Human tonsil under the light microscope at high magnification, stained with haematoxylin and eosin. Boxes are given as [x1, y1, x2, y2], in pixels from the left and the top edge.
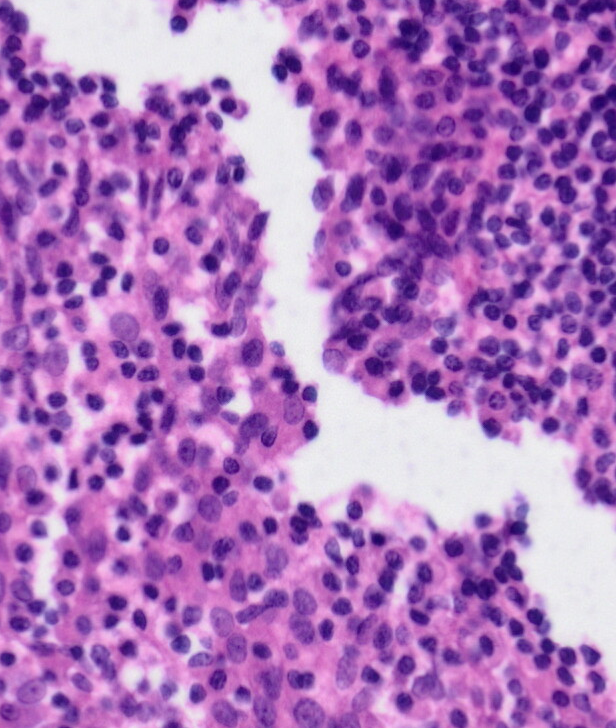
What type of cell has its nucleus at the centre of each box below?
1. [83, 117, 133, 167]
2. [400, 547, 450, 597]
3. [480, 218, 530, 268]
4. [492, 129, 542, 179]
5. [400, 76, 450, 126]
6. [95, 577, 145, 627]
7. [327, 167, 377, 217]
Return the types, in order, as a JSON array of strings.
["plasma cell", "plasma cell", "small lymphocyte", "small lymphocyte", "plasma cell", "plasma cell", "squamous epithelial cell"]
